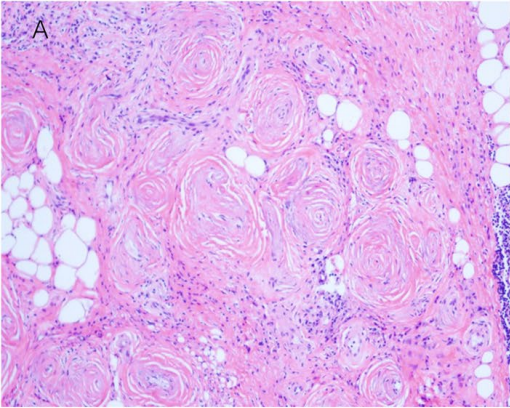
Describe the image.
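Fibrous tissue in which many vessels are enclosed by thick, concentric layers of pink collagen forming round whorls, some with a small central lumen. Spindle cells lie in the stroma between the whorls, with clusters of small dark inflammatory cells and fat cells at the margins.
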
